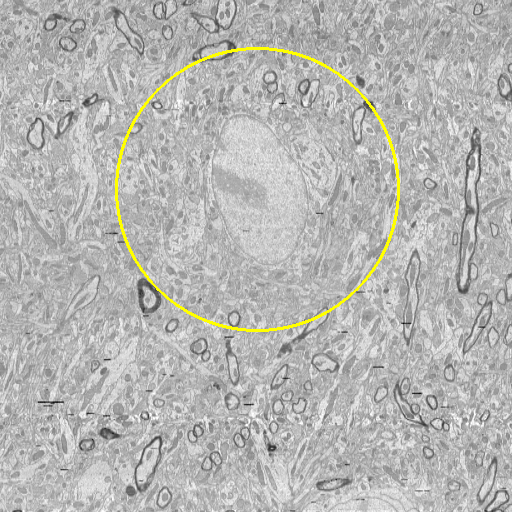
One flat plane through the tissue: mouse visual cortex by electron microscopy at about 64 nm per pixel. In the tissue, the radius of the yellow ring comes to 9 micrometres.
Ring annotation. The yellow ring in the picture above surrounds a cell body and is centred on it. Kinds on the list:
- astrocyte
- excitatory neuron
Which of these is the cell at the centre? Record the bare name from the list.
astrocyte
